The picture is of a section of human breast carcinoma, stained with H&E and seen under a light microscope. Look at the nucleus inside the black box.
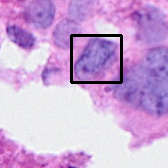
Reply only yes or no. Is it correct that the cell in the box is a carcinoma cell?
yes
